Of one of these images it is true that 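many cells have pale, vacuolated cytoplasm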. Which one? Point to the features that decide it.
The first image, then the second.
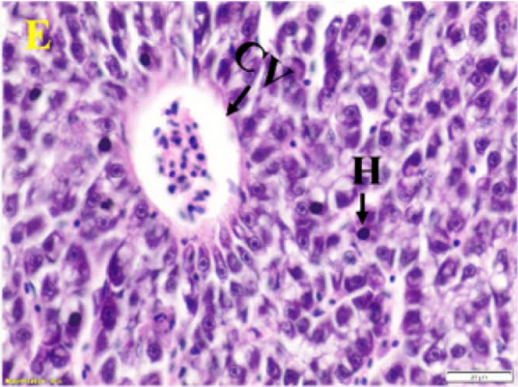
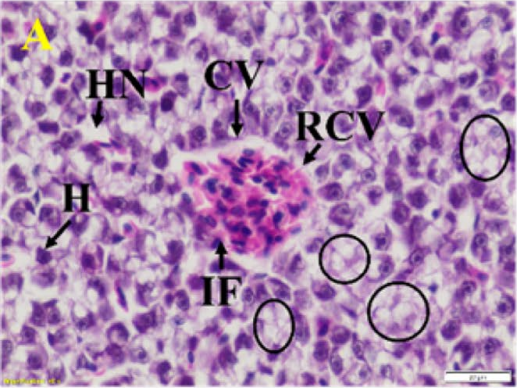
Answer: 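First image: cells have densely stained purple-pink cytoplasm with few clear spaces. Second image: many cells have pale, clear, empty-looking cytoplasm.
Answer: the second image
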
